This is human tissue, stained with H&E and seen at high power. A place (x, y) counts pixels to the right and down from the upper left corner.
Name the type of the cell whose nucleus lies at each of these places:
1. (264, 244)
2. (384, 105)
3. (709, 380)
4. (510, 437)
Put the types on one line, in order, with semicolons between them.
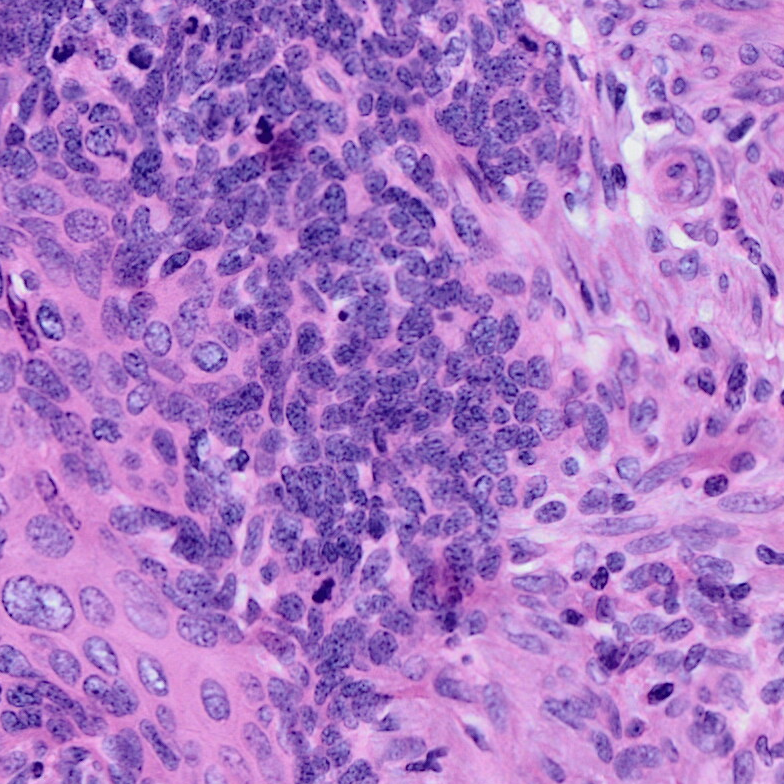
squamous carcinoma cell; squamous carcinoma cell; lymphocyte; squamous carcinoma cell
